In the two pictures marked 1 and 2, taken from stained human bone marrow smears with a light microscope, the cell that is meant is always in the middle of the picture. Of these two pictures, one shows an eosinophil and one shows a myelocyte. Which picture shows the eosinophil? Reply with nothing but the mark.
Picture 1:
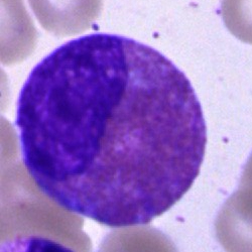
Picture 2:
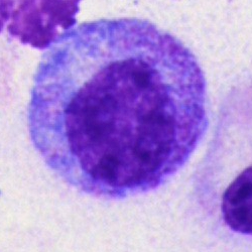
1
